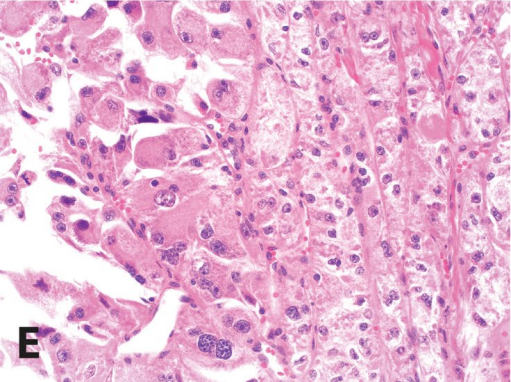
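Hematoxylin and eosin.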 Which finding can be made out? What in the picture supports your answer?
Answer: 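Marked pleomorphism. On the left, cells vary greatly in size and nuclear size. Some large cells have enlarged, irregular or multiple nuclei.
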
